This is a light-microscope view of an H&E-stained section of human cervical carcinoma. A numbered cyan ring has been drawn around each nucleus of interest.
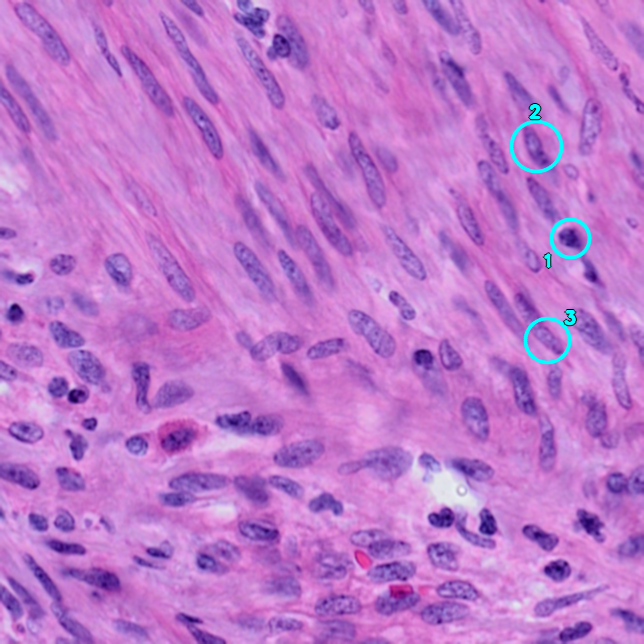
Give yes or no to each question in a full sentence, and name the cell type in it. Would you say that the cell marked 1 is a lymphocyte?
Yes, in this section the cell with number 1 is a lymphocyte.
